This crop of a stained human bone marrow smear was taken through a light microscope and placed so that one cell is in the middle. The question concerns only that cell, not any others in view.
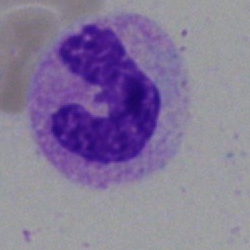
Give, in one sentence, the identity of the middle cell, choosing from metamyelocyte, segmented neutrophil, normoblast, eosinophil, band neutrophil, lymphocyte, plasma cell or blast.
In this smear crop, the middle cell is a band neutrophil.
